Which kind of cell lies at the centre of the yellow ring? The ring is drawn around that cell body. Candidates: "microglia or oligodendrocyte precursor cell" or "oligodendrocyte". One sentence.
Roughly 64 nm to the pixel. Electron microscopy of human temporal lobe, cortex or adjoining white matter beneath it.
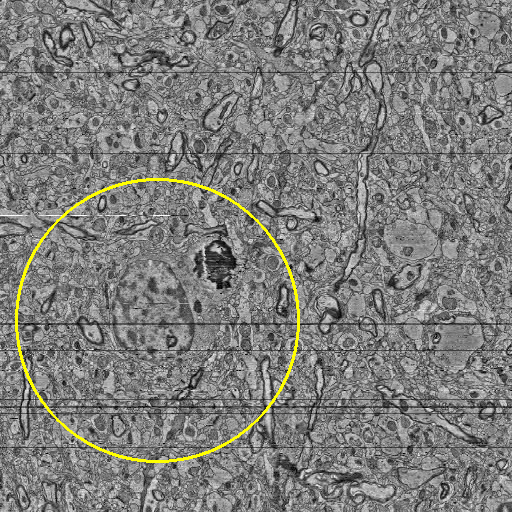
Lying at the centre of the ring is an oligodendrocyte.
